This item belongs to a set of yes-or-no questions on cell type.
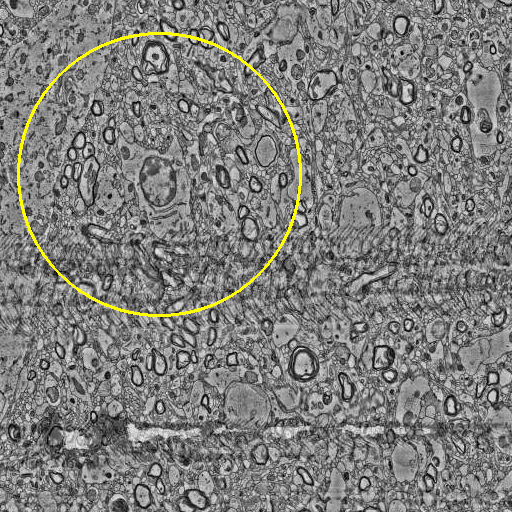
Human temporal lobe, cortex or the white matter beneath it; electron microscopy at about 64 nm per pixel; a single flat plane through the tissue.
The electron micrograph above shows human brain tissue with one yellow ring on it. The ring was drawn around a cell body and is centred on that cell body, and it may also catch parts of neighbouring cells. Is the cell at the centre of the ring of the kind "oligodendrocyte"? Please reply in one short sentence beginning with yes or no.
No, that cell is of another kind.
